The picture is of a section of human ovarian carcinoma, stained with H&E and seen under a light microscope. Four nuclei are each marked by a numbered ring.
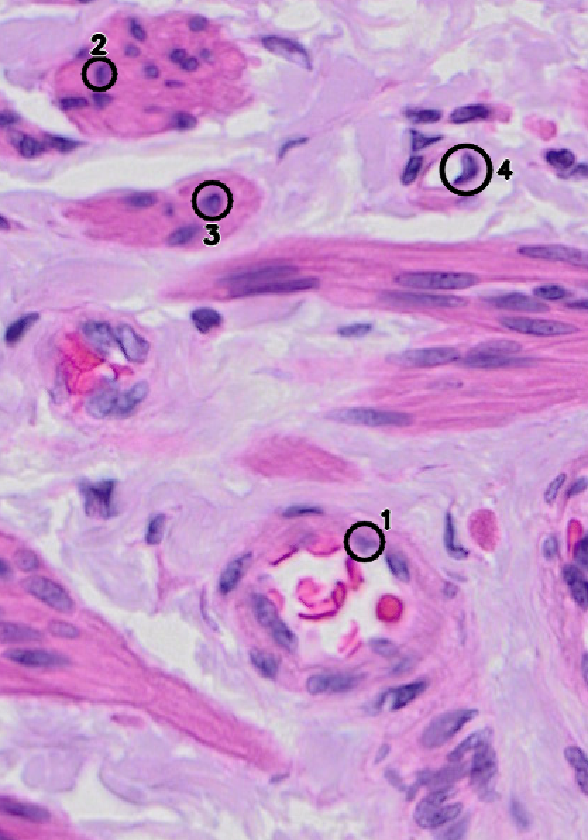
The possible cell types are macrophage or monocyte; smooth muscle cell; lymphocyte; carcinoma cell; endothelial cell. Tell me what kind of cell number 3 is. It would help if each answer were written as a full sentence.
The cell given label 3 is a smooth muscle cell.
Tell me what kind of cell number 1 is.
At number 1, the marked cell is an endothelial cell.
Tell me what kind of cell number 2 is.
In the marked set, the cell given number 2 is a smooth muscle cell.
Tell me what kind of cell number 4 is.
The nucleus labeled 4 belongs to an endothelial cell.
